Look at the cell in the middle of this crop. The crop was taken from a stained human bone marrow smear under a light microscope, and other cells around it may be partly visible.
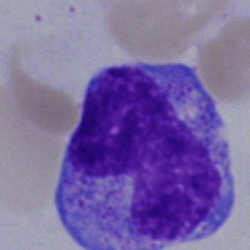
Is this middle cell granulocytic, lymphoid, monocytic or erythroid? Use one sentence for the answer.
The cell sitting in the middle of this crop is of the monocytic line.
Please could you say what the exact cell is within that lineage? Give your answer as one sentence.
What sits at the centre of this crop is a monocyte.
